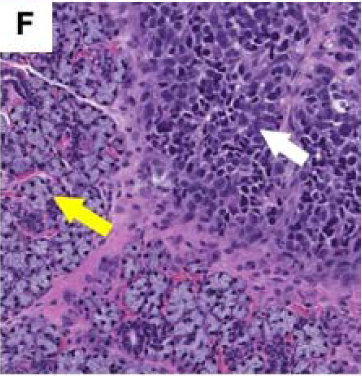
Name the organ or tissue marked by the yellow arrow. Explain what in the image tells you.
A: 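Small rounded clusters of cells with pale, lighter cytoplasm arranged in lobular groups. These groups differ from the densely packed dark cell sheet on the other side.
Hence: salivary gland tissue.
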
